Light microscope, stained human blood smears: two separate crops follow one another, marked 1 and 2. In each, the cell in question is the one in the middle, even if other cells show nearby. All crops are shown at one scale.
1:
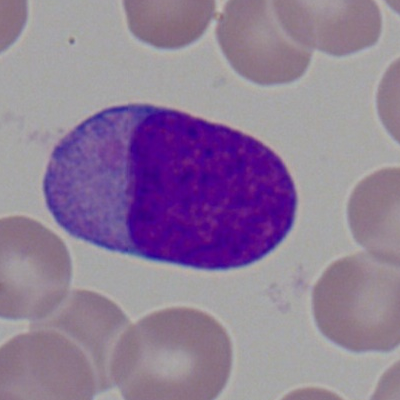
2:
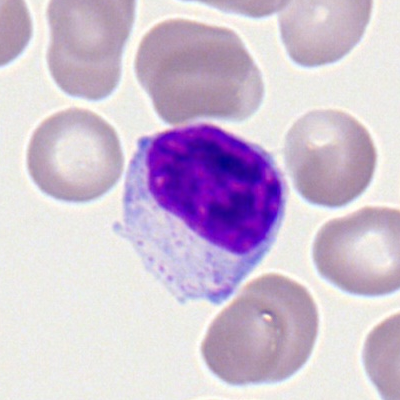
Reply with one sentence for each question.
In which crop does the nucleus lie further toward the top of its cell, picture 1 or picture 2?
In picture 2 the nucleus is shifted more toward the top.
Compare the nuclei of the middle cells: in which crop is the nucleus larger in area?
It is the nucleus in picture 1, about 2 times as large in area as the one in picture 2.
